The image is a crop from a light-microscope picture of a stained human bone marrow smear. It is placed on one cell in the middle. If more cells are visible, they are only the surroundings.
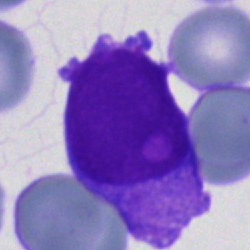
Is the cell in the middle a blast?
yes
